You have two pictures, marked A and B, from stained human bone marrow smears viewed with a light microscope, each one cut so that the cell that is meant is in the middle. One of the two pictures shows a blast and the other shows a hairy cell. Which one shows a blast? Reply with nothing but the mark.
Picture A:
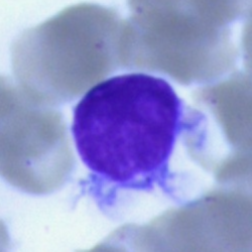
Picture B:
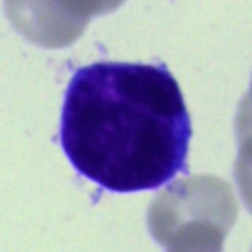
B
